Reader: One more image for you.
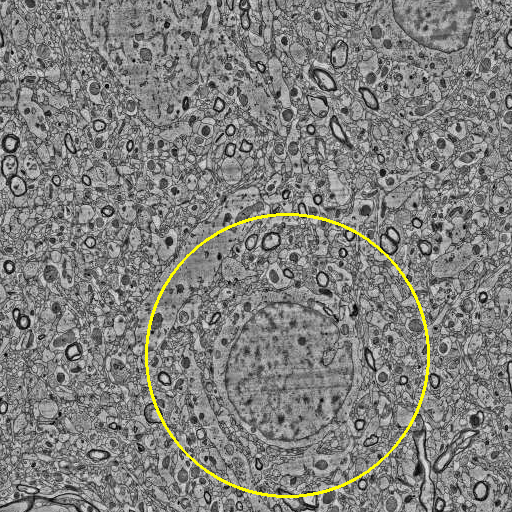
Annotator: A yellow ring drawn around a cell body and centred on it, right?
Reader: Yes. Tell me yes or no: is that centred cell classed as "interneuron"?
yes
